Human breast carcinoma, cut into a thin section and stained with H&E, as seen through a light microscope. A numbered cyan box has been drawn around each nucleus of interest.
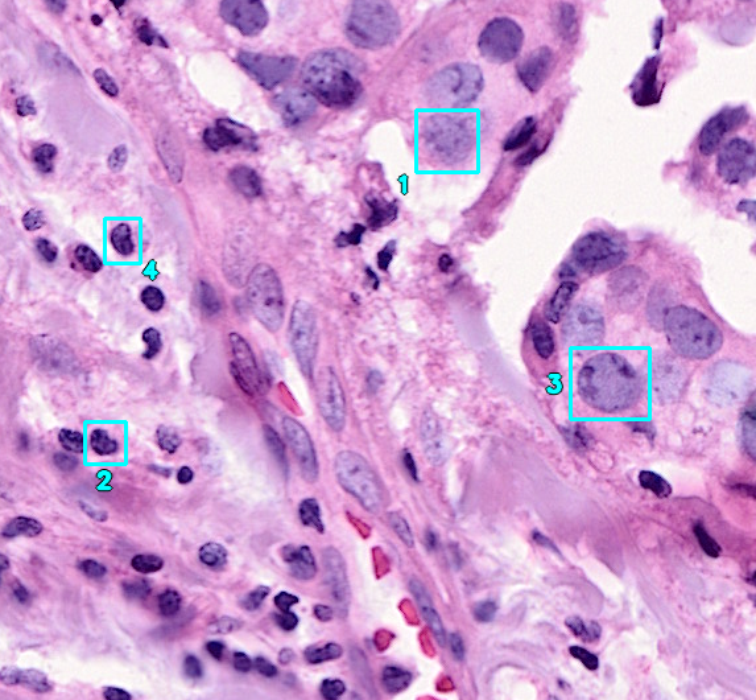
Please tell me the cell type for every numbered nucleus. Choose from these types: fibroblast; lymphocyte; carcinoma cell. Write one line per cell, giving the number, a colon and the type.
1: carcinoma cell
2: lymphocyte
3: carcinoma cell
4: lymphocyte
